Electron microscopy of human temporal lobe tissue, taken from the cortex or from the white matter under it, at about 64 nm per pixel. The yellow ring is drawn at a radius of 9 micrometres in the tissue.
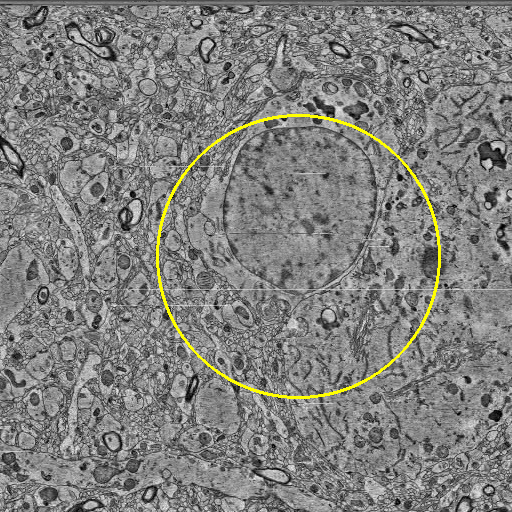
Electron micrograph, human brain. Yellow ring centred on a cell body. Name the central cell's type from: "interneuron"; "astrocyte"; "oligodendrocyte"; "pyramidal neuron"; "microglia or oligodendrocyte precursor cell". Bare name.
astrocyte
